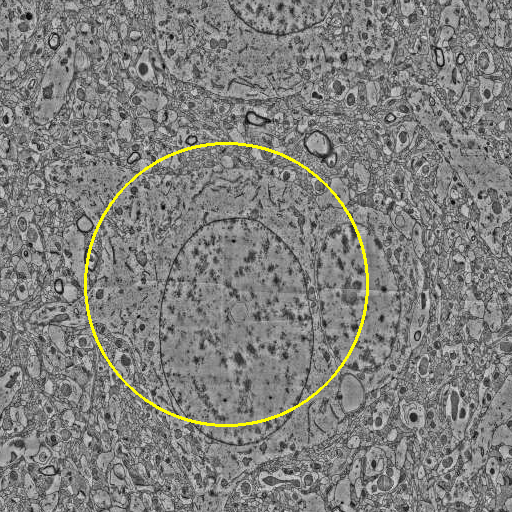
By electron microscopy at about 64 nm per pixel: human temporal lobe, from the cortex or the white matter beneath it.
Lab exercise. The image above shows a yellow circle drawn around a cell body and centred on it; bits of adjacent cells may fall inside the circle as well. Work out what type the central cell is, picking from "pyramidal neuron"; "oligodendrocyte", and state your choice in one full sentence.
In the image above, the cell at the centre of the yellow circle is a pyramidal neuron.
